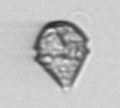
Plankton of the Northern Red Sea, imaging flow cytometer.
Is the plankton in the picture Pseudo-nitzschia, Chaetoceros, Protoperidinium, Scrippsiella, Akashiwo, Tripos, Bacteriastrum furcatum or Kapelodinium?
It is Scrippsiella.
